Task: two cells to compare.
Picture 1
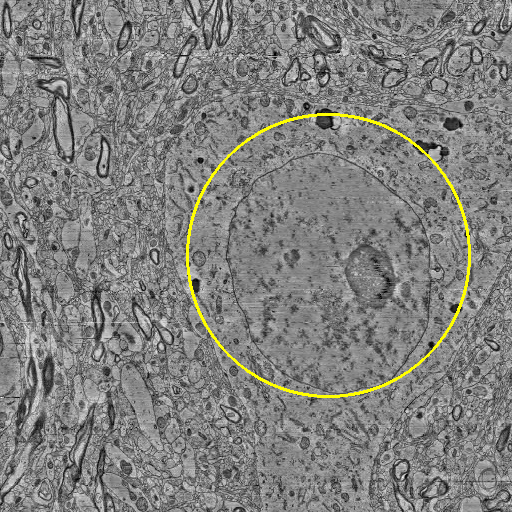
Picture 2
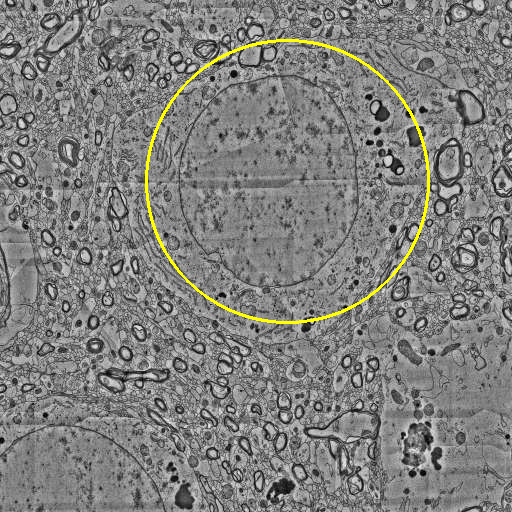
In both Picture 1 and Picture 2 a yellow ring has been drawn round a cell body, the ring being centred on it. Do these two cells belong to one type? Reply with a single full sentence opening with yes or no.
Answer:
Yes, the two cells at the ring centres in Picture 1 and Picture 2 share one type.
